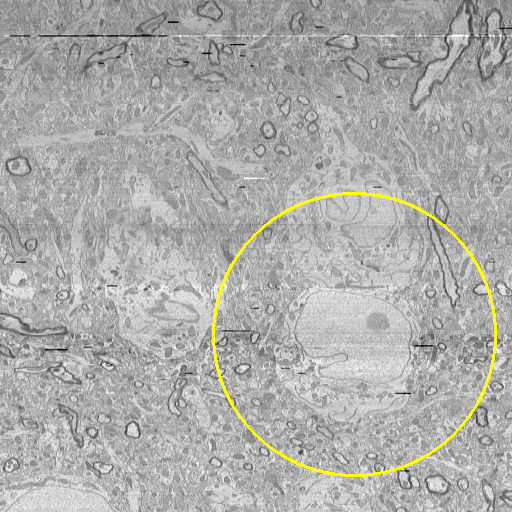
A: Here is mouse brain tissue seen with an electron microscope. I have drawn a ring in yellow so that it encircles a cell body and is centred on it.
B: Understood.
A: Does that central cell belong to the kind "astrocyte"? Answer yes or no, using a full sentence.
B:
No, the central cell inside your yellow ring belongs to another kind.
